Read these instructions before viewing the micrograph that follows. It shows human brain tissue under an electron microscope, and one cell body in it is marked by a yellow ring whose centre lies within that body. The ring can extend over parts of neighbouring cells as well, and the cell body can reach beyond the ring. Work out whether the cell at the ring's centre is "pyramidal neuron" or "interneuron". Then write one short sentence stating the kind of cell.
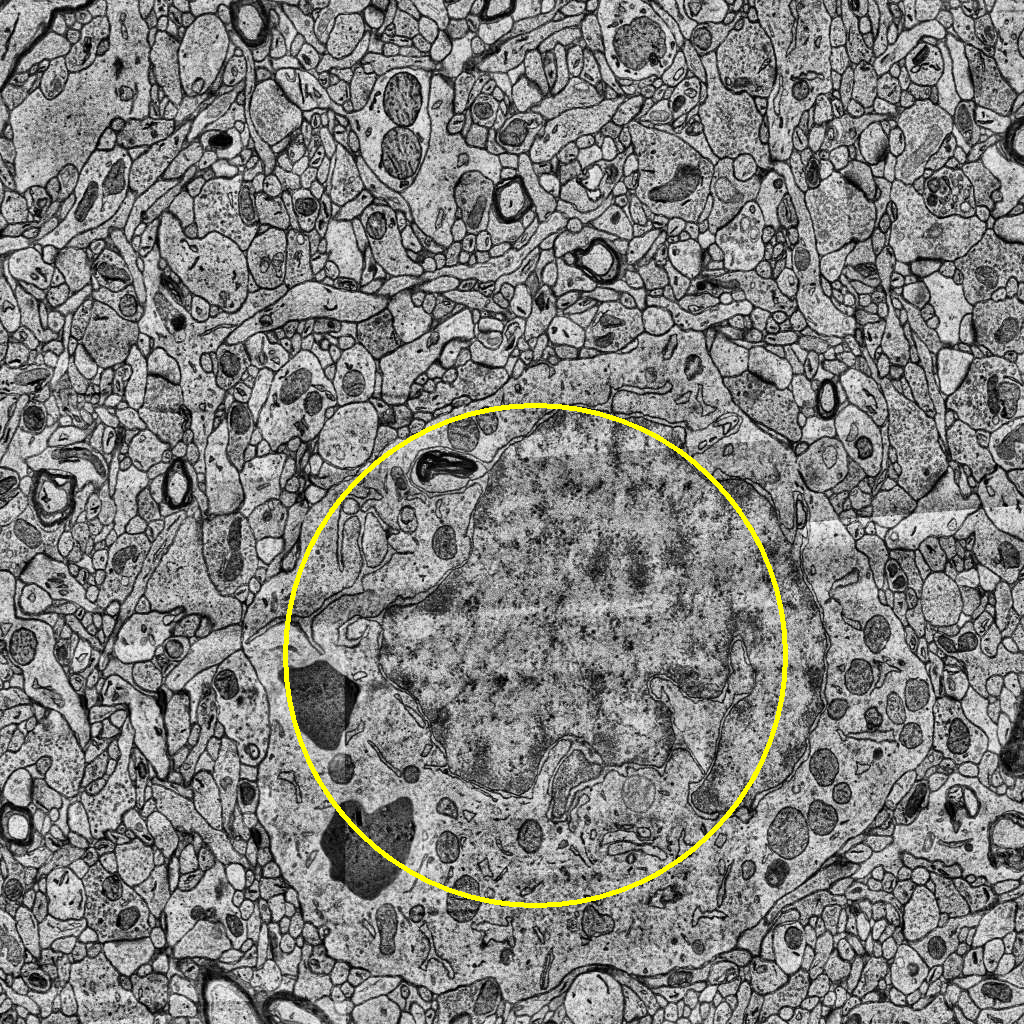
The cell at the ring's centre is an interneuron.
